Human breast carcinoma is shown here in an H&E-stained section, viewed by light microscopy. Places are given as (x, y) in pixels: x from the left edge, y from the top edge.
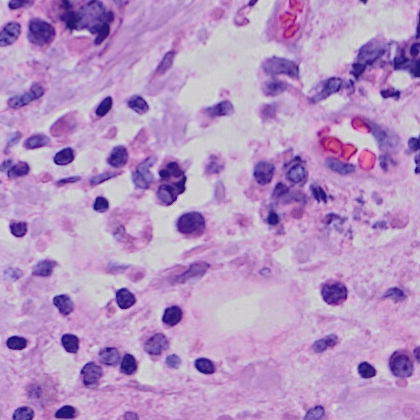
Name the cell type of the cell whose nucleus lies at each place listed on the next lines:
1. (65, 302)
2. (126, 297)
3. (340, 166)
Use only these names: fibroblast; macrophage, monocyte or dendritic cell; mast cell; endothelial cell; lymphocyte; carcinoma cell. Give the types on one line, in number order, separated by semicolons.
lymphocyte; lymphocyte; endothelial cell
